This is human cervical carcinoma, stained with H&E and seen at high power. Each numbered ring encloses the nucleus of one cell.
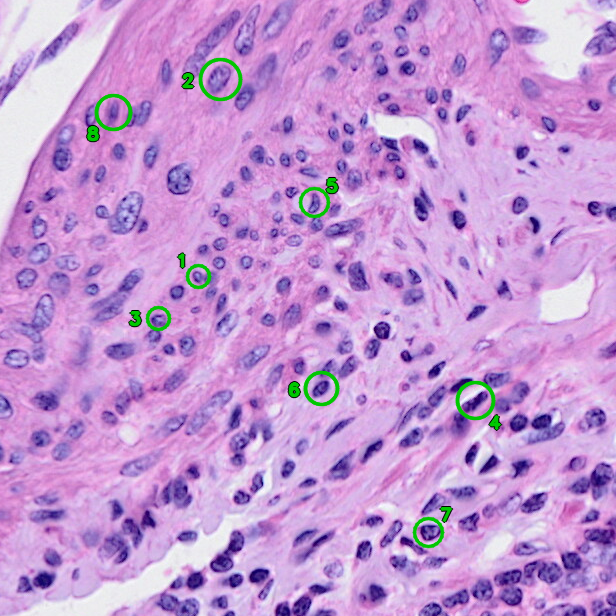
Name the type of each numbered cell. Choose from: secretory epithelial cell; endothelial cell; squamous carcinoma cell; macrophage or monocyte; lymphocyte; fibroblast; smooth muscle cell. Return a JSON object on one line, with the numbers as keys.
{"1": "smooth muscle cell", "2": "smooth muscle cell", "3": "smooth muscle cell", "4": "lymphocyte", "5": "smooth muscle cell", "6": "lymphocyte", "7": "lymphocyte", "8": "smooth muscle cell"}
